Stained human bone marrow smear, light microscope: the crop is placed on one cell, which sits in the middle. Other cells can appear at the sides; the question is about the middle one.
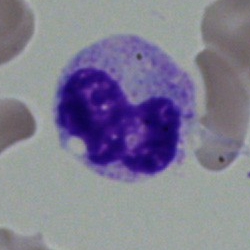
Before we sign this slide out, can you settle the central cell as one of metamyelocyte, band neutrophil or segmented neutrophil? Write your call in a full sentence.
Centred in the crop is a segmented neutrophil.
